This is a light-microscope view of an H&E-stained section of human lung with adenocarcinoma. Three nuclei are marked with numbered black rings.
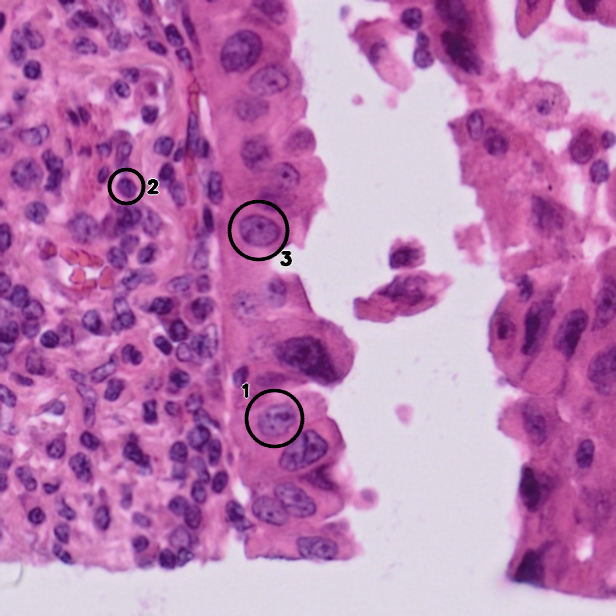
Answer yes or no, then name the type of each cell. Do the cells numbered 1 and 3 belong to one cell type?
Yes, cells 1 and 3 are both counted as carcinoma cells.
